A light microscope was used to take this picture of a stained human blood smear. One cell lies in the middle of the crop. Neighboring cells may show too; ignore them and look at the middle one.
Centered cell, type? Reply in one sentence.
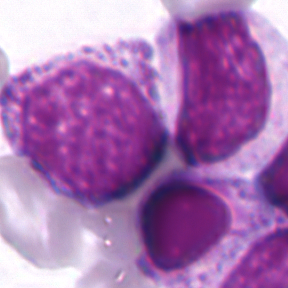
This crop's central cell is a myelocyte.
